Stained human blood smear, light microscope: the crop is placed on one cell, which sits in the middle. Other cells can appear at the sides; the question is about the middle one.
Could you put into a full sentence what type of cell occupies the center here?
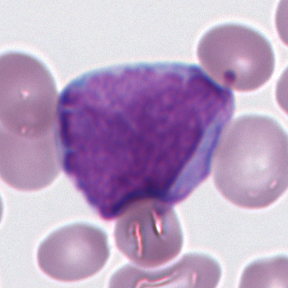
What the crop centres on is an atypical promyelocyte.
